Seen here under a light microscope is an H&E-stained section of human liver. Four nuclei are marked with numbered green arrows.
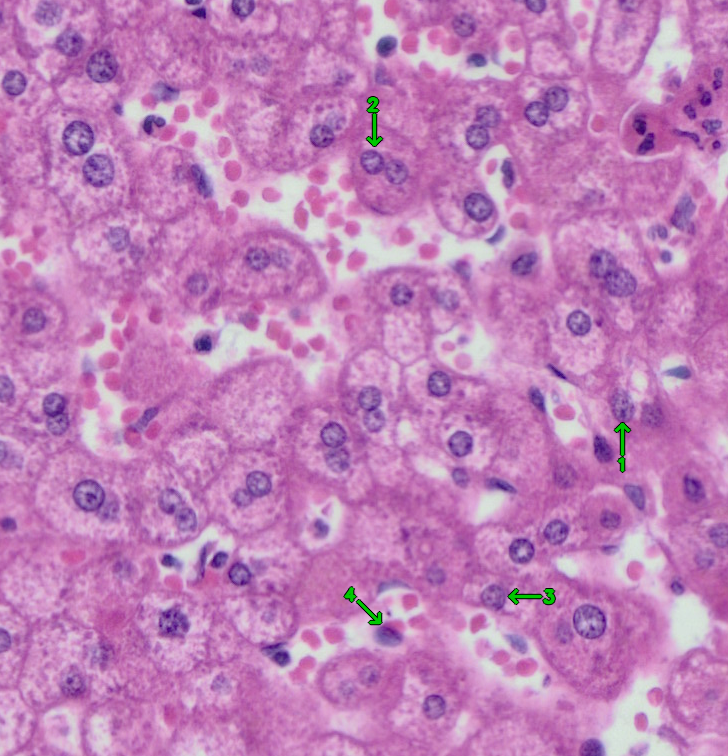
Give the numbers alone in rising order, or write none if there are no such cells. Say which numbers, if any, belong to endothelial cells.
4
